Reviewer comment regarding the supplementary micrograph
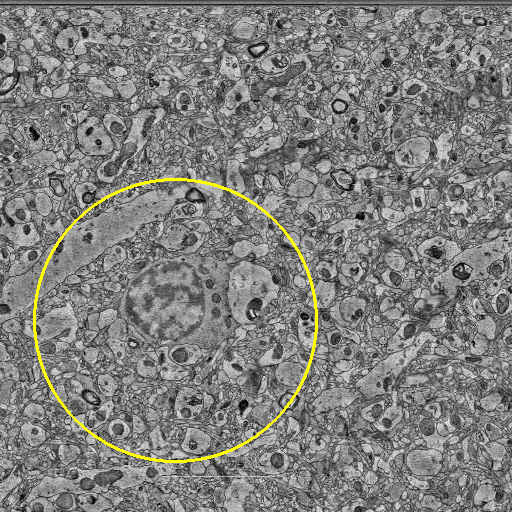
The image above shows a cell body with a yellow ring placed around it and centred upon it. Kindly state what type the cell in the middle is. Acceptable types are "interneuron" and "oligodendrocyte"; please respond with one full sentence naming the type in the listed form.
In the image above, the cell on which the yellow ring is centred is an oligodendrocyte.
